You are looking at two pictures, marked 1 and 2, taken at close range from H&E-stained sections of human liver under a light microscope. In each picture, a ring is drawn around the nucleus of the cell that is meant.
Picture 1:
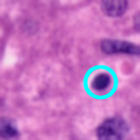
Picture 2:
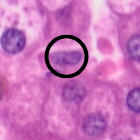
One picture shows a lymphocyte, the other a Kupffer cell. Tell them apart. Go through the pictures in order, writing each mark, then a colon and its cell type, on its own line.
1: lymphocyte
2: Kupffer cell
